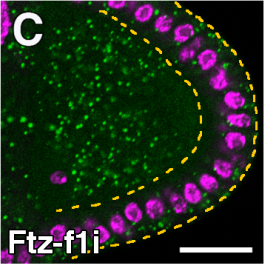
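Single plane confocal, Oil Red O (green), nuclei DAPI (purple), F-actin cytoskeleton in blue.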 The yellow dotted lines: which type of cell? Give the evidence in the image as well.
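Follicle cells. A single row of purple nuclei lies within the dotted band. The band lines the curved border of a large cell full of green dots.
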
